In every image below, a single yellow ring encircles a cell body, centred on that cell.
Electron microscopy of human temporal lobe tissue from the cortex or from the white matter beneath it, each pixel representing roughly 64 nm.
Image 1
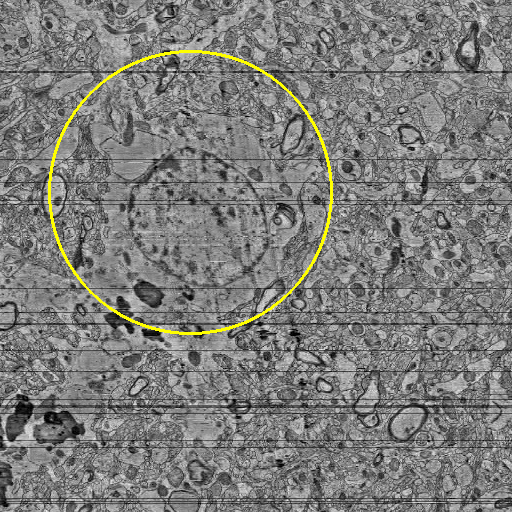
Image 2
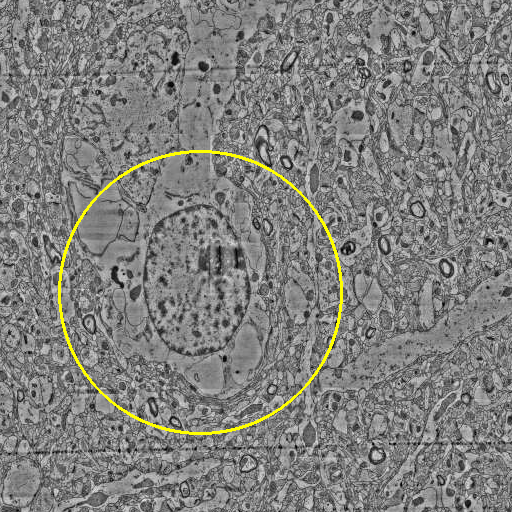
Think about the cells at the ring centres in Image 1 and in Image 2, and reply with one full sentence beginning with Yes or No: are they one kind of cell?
Yes, the cells centred in the rings of Image 1 and Image 2 are one kind of cell.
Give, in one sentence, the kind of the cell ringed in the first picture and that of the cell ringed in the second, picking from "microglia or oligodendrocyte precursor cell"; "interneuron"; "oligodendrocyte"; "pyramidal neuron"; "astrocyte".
In the first picture and in the second, the ring is centred on an astrocyte.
